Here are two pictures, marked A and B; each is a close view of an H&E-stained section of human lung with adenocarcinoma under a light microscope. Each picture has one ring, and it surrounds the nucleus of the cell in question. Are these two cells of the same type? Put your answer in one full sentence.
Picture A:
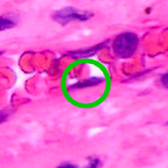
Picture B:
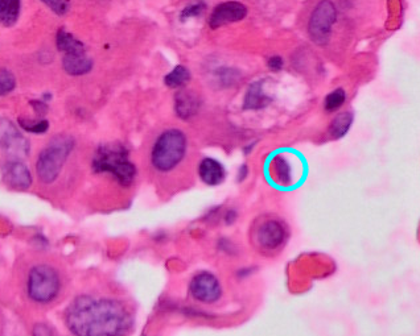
Yes; the cells in both pictures are endothelial cells.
